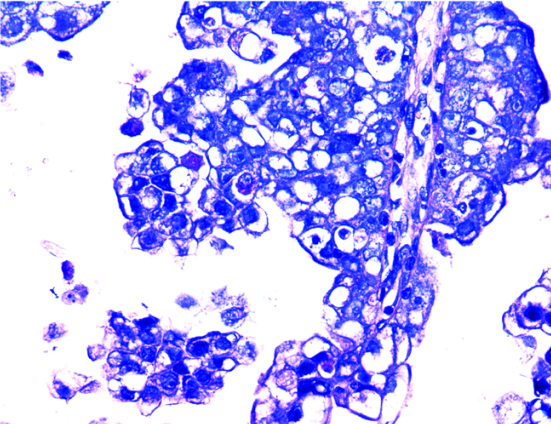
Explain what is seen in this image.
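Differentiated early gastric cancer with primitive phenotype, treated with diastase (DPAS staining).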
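Nuclei are enlarged, round to irregular and atypical, some with visible nucleoli. A thin band of spindle-shaped stromal cells separates two groups of tumour cells. Detached tumour cells float singly or in small clusters in the spaces.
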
